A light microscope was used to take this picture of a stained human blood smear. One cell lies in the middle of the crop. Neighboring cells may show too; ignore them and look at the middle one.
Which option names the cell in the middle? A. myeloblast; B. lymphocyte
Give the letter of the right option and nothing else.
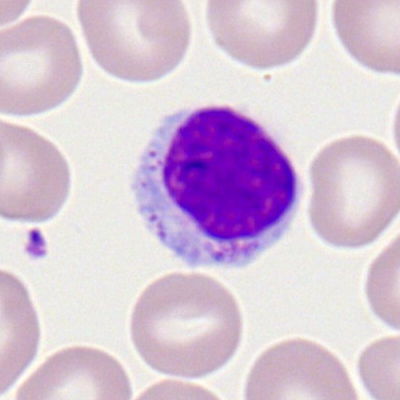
B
